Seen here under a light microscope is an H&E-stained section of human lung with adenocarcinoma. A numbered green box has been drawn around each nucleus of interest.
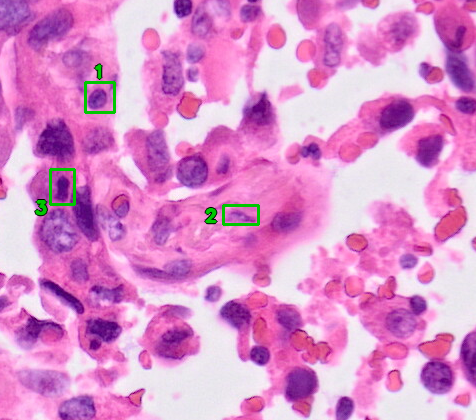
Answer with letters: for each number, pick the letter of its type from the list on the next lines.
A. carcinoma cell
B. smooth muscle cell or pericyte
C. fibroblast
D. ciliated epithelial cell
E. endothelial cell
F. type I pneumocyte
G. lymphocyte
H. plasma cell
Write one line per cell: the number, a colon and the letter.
1: G
2: C
3: A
